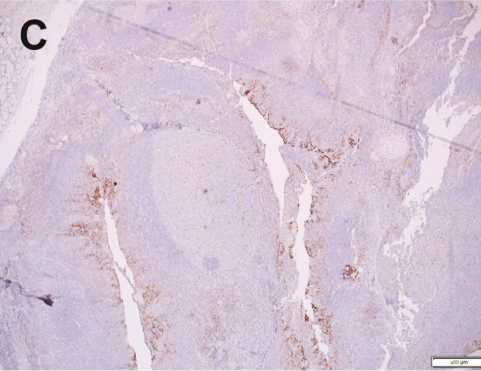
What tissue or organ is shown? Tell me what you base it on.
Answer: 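Lymphoid tissue with rounded follicles. Narrow clefts lined by a brown-stained epithelium run into the tissue.
Answer: tonsil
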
